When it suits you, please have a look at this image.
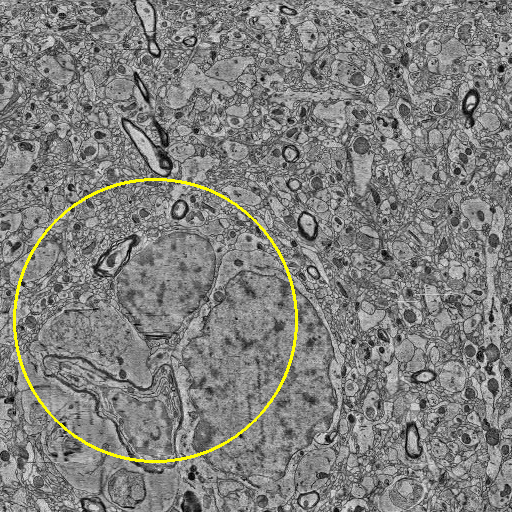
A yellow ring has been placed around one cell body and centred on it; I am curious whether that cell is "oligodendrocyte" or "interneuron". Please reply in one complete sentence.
The ringed cell, an oligodendrocyte, has its body at the centre of the yellow ring.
